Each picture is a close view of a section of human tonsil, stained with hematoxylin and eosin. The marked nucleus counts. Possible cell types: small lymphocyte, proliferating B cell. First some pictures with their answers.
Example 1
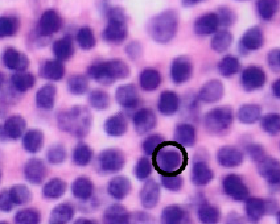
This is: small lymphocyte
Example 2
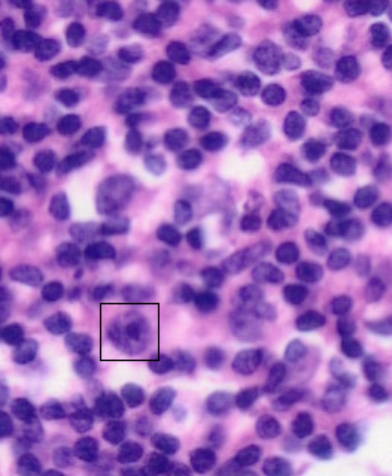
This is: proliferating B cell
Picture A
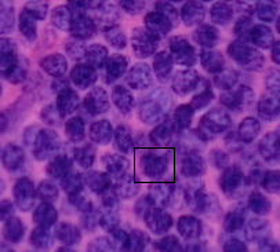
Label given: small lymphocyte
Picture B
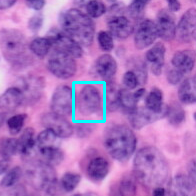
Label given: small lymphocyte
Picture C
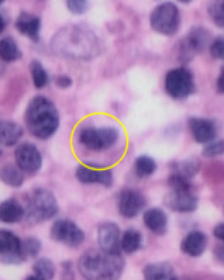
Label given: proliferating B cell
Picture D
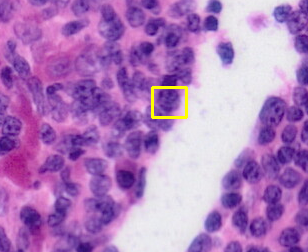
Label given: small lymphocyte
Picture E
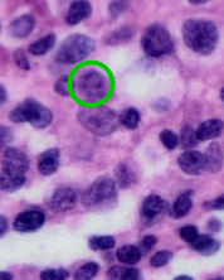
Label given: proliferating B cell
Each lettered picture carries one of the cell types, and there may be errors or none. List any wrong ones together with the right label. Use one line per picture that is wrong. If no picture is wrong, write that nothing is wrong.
B: not small lymphocyte but proliferating B cell
D: not small lymphocyte but proliferating B cell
